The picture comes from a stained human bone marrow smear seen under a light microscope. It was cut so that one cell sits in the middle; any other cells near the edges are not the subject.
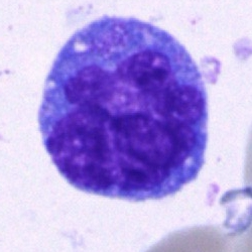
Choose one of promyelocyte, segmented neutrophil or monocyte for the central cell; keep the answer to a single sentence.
The cell that lies at the centre of the crop is a monocyte.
